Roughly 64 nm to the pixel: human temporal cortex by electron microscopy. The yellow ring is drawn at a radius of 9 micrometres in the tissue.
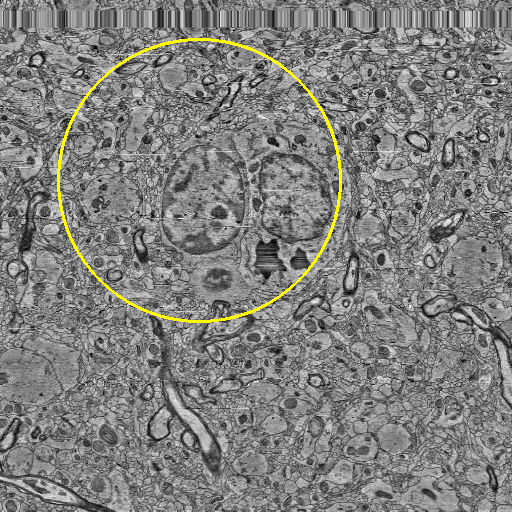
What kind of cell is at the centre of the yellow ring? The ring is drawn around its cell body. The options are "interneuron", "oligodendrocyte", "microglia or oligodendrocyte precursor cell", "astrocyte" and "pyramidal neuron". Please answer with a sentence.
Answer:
The yellow ring marks the cell body of an oligodendrocyte.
